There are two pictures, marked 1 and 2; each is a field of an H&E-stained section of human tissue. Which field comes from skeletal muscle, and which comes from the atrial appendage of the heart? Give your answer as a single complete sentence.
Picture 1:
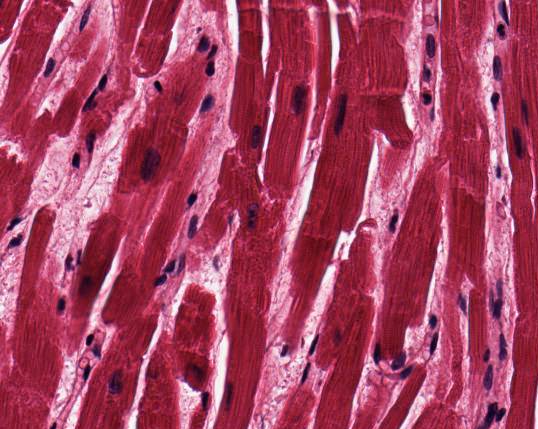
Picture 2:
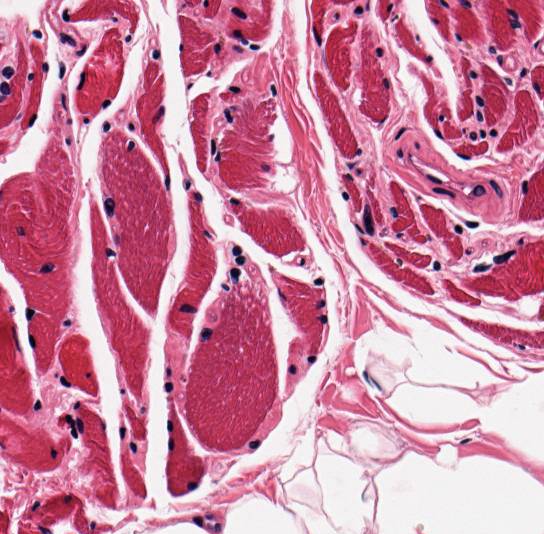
Picture 1 comes from the atrial appendage of the heart and picture 2 comes from skeletal muscle.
